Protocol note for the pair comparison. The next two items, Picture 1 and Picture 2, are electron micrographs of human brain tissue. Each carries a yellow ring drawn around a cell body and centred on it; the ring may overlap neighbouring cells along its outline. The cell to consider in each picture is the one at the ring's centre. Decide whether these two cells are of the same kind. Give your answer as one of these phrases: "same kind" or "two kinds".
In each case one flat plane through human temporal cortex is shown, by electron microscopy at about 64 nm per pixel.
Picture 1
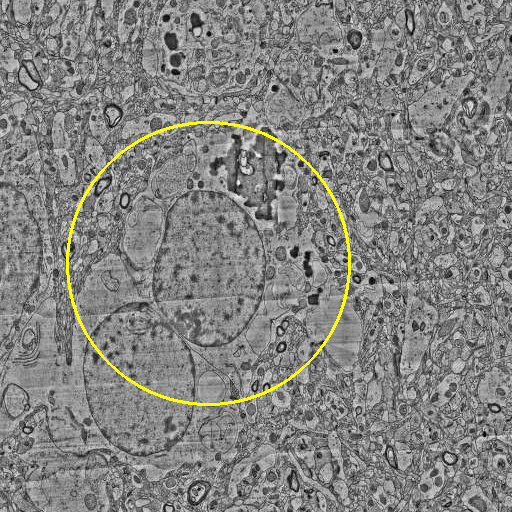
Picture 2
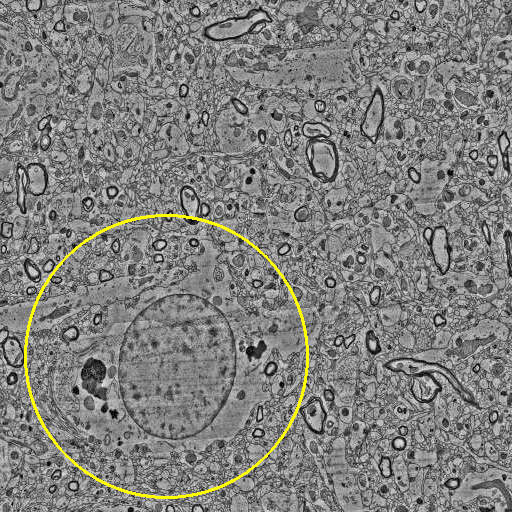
same kind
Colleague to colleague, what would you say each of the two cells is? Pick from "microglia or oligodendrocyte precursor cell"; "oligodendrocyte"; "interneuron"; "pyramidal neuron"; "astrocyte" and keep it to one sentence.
Each of the two pictures has an astrocyte at the ring centre.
